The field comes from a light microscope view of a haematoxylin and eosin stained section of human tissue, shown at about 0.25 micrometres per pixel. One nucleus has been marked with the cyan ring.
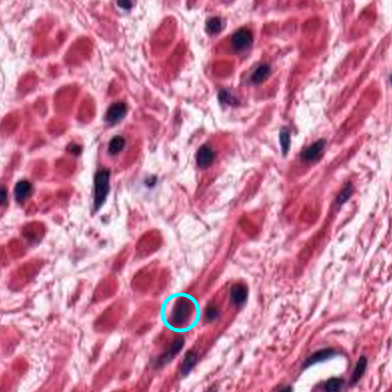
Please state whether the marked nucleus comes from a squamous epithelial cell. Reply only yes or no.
no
